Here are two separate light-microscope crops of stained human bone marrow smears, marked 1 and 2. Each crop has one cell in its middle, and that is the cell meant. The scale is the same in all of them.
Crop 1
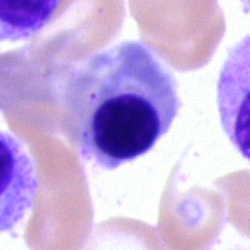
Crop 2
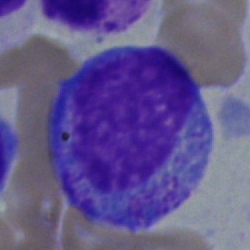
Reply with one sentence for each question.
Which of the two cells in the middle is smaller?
Smaller is the cell in crop 1, and the other is about 3 times as large in area.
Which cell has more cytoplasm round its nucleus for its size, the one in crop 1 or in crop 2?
The nucleus fills less of the cell in crop 1 than in crop 2.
